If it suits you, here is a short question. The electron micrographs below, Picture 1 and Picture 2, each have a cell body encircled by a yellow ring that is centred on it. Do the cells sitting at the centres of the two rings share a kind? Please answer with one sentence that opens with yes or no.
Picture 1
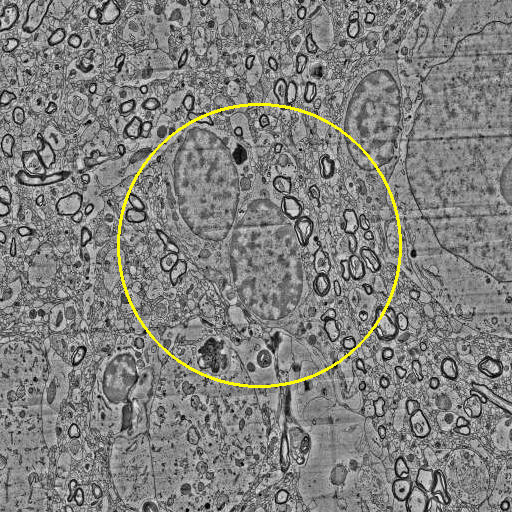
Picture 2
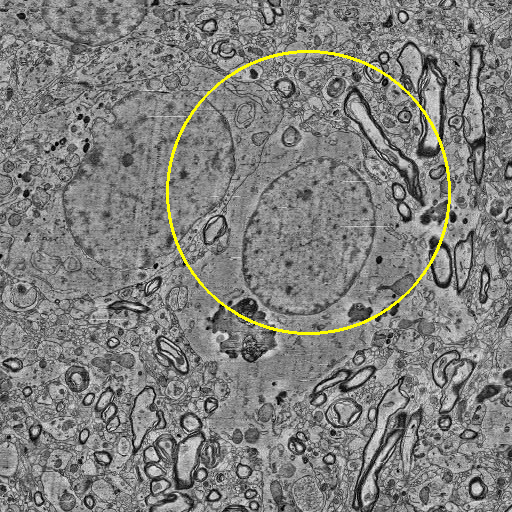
No, the two cells sitting at the ring centres fall into two kinds.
